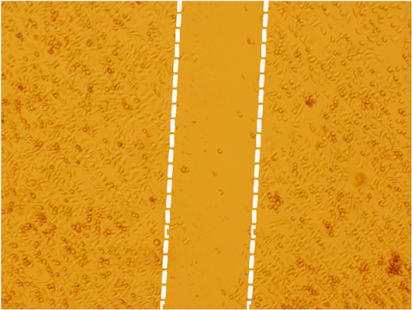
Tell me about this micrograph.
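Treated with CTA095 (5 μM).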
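On either side the cells are small, rounded to spindle-shaped and spread fairly evenly over the dish. The gap between the lines remains largely empty, with only a few cells inside it.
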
